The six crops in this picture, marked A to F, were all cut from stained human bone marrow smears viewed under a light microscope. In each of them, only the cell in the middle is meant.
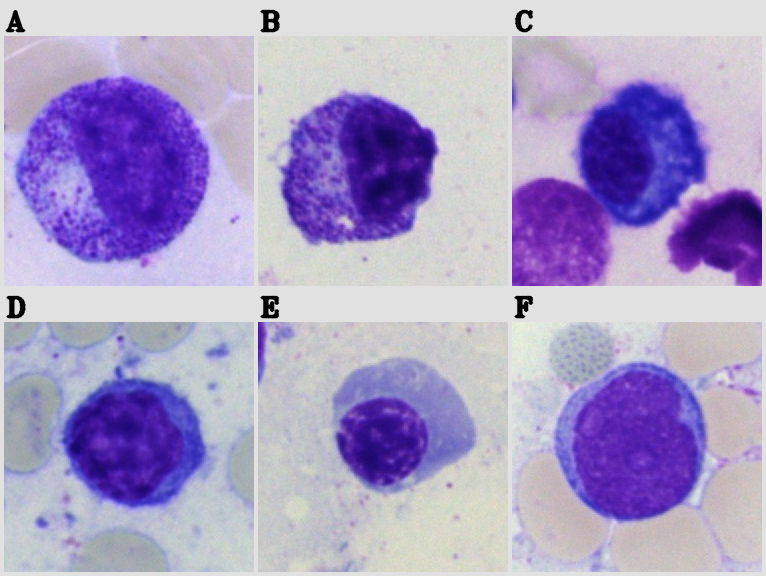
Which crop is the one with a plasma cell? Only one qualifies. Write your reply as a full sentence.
The crop with a plasma cell in it is crop C.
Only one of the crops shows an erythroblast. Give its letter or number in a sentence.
So the crop with an erythroblast at its center is crop E.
